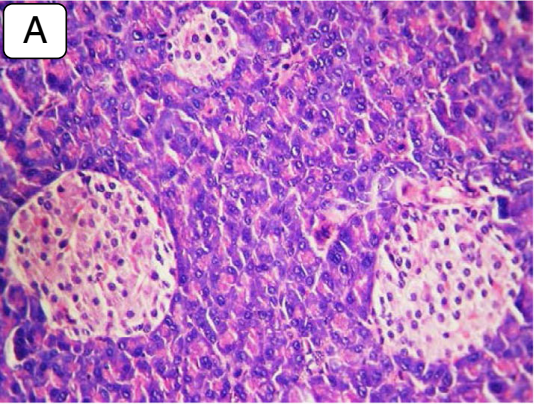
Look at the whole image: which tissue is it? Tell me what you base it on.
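Pancreatic tissue. Densely packed acini of basophilic cells with purple cytoplasm. Several rounded pale-staining cell clusters set among the acini.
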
